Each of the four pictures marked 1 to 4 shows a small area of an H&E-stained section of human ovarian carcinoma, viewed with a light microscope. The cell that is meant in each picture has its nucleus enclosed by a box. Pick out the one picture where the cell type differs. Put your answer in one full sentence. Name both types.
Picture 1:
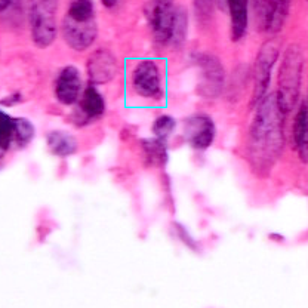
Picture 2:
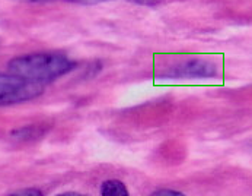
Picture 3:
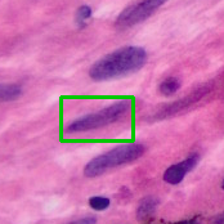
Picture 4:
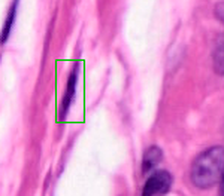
Picture 1 differs, because its cell is a “macrophage or monocyte” and the rest are fibroblasts.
